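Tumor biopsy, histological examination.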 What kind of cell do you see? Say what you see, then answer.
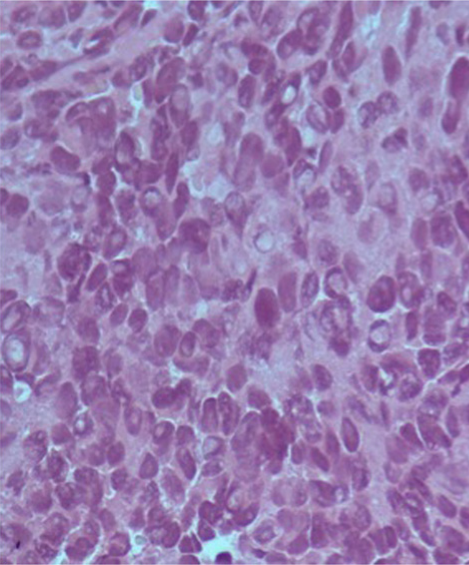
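Nuclei vary markedly in size and shape, from oval to elongated to large and round. Cells are crowded in sheets without orderly arrangement.
Hence: pleomorphic cells.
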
